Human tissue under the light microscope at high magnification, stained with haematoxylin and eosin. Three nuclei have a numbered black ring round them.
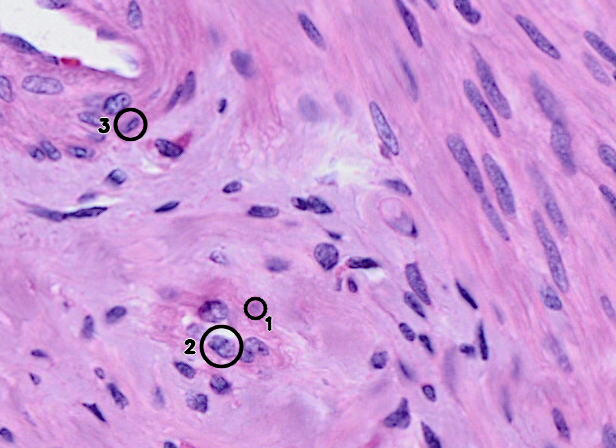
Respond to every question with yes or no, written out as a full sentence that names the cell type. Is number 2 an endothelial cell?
Yes, for number 2, the cell is an endothelial cell.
